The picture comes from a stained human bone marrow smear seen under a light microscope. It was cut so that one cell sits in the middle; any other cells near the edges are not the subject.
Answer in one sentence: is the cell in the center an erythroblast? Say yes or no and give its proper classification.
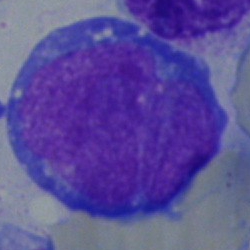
No, that guess of an erythroblast misses; the central cell is a blast.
